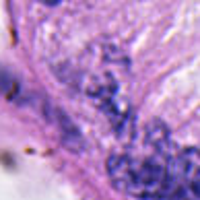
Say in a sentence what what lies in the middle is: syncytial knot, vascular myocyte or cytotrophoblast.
This is a cytotrophoblast.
